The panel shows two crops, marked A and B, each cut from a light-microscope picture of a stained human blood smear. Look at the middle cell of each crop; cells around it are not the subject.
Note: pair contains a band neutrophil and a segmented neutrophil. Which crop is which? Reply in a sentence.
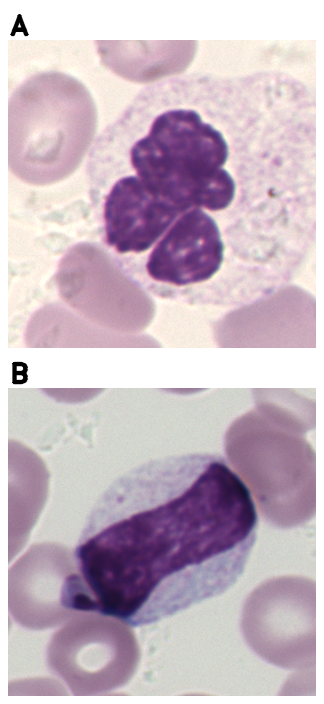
In this set, crop A shows a segmented neutrophil and crop B shows a band neutrophil.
